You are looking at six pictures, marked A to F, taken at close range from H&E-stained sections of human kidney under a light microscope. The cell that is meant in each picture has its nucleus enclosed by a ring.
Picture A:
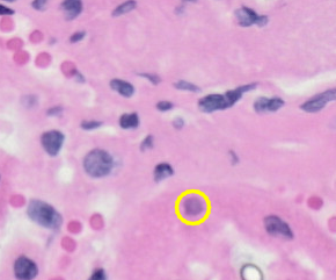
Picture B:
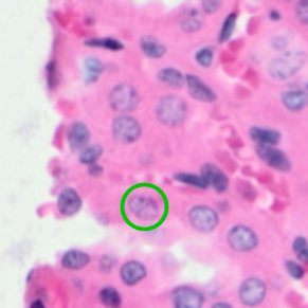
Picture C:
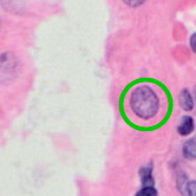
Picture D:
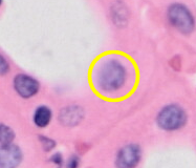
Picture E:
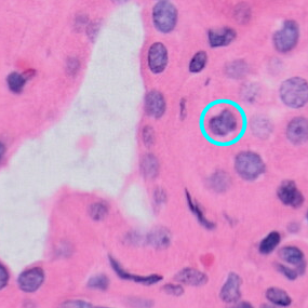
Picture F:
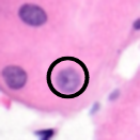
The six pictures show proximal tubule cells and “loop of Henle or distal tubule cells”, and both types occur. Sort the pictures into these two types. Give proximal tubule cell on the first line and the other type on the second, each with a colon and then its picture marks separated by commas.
proximal tubule cell: A, C, F
loop of Henle or distal tubule cell: B, D, E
